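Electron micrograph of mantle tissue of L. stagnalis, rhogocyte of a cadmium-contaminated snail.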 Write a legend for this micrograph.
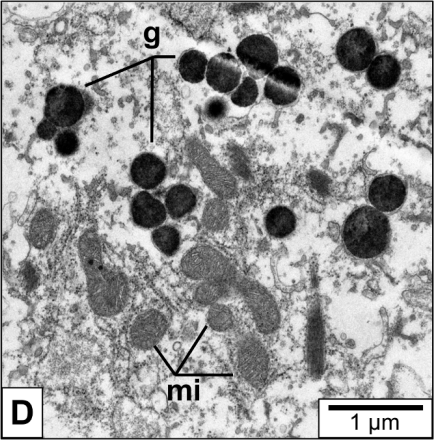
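Many round, very electron-dense granules stand out, some single and some in small clusters, several with a slightly mottled or banded interior. Between them lie elongated mitochondria with visible cristae, appearing medium grey and clearly less dense than the granules. The surrounding cytoplasm is pale and loosely textured, with small vesicles and membrane profiles scattered throughout, and a thin dark rod-shaped body near the lower edge.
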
